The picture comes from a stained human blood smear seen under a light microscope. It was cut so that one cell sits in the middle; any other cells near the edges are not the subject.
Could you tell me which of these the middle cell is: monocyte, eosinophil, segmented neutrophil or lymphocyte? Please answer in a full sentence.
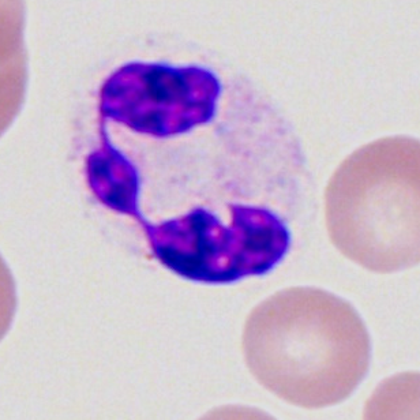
In the middle of this smear crop, the cell is a segmented neutrophil.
